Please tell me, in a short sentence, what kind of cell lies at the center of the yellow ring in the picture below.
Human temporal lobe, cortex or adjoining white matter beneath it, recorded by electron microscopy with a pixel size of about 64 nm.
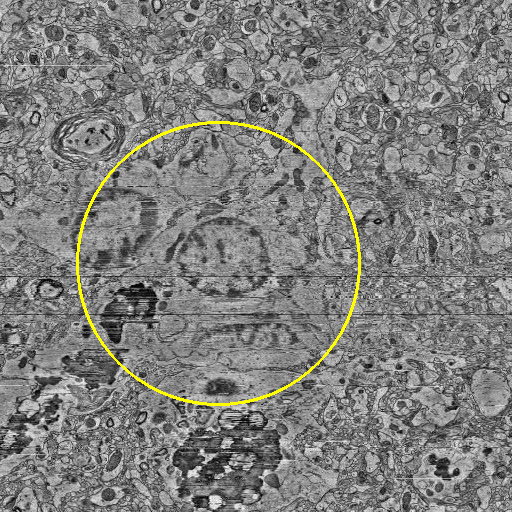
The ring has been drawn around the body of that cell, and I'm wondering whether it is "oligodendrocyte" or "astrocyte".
The cell at the center of the ring is an astrocyte.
